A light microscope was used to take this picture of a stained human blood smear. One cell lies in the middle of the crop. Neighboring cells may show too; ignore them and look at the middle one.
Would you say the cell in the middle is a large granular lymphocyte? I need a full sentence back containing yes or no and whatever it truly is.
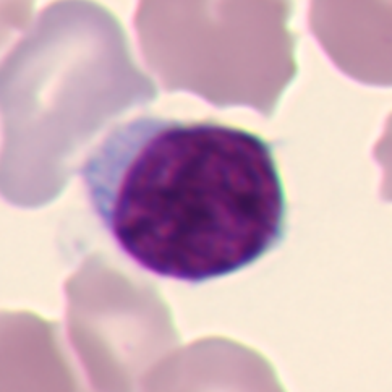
No, the central cell isn't a large granular lymphocyte, but a hairy cell.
